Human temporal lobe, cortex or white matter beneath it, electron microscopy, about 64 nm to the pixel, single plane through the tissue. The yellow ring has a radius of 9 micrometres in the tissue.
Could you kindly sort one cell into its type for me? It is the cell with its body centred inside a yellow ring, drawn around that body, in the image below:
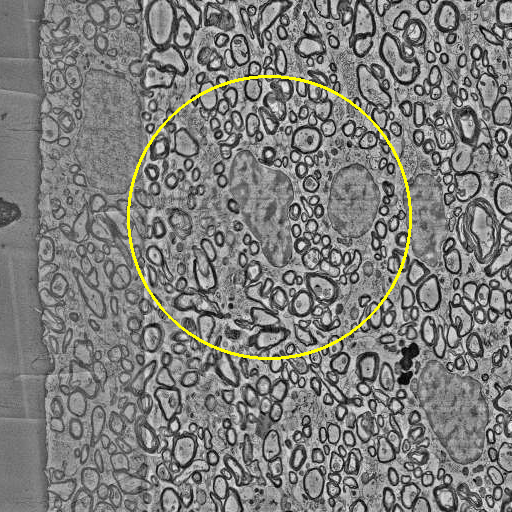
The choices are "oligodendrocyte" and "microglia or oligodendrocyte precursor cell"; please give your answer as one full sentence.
The cell whose body lies centred in the yellow ring here is a microglial cell or oligodendrocyte precursor cell.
